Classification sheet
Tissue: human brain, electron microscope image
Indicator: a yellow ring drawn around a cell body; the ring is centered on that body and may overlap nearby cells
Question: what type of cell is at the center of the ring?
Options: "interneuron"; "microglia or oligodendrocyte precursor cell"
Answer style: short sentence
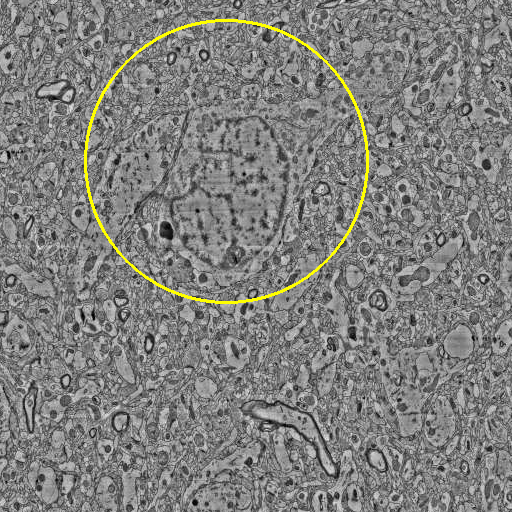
At the ring's center is an interneuron.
